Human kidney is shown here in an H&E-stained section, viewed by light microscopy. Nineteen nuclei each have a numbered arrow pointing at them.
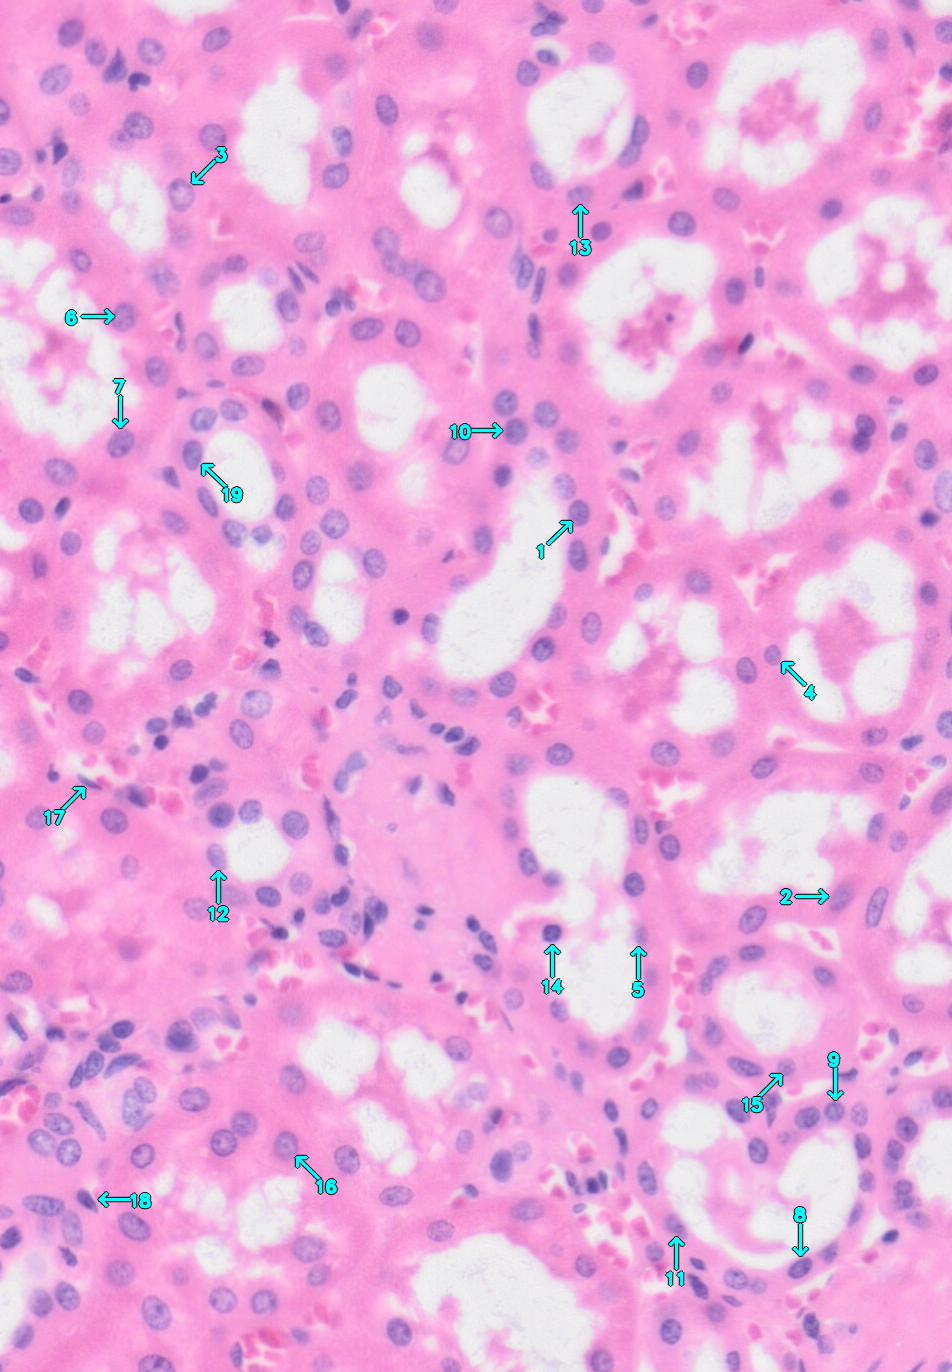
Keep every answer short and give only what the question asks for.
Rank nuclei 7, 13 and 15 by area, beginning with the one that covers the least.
15, 13, 7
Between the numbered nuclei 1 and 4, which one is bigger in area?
1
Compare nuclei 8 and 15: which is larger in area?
8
